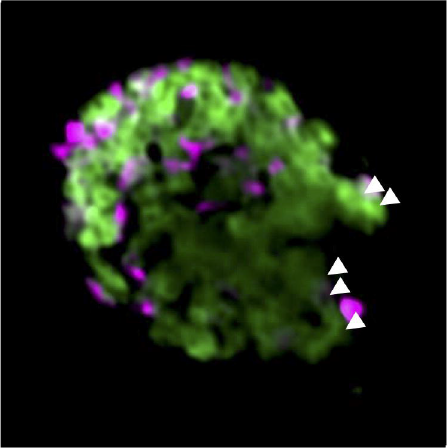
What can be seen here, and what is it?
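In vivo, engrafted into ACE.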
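Bright magenta spots are scattered among the cells, most densely along the upper and left rim. Darker gaps lie in the centre of the cluster, and white arrowheads point to cells at the right edge.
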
